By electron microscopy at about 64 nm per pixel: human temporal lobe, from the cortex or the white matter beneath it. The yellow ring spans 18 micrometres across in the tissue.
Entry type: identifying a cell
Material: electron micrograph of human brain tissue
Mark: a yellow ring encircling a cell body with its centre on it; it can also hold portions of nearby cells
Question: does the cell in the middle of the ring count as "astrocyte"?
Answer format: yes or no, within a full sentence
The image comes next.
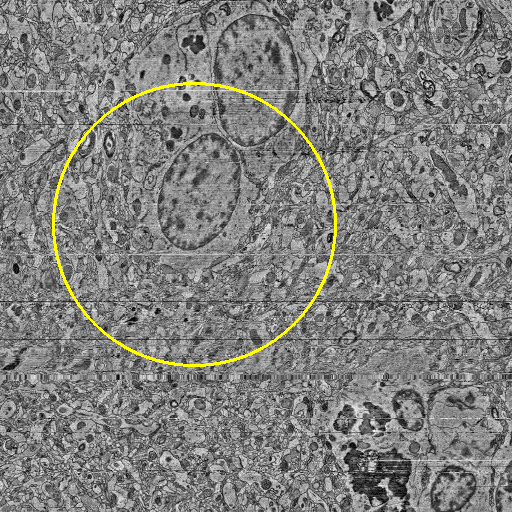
Yes, in the image, the cell in the middle of the yellow ring counts as the queried kind.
